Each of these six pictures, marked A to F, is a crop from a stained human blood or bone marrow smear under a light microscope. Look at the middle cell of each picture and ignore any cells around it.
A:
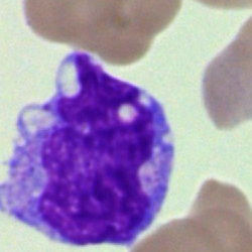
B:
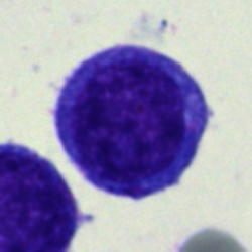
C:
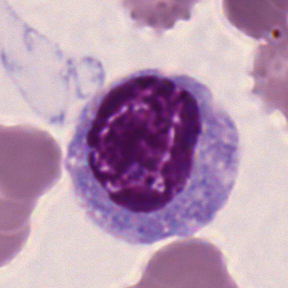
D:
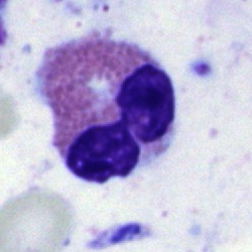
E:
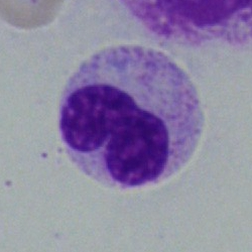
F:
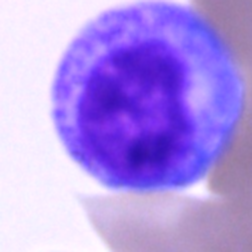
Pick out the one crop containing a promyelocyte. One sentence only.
The requested cell, a promyelocyte, is the one in crop F.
